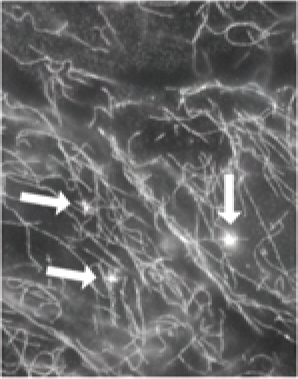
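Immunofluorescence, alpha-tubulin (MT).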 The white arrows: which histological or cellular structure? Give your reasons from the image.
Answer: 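The arrows point to small bright foci. The answer: centrosomal microtubule asters.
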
